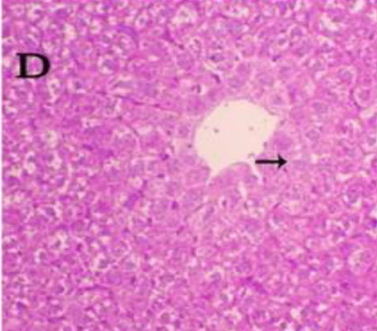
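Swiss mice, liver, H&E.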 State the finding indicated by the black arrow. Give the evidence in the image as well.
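The arrow lies beside a large vessel lumen. Liver cells near it look enlarged and pale with cleared, finely vacuolated cytoplasm. The answer: Swelling of hepatocytes.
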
